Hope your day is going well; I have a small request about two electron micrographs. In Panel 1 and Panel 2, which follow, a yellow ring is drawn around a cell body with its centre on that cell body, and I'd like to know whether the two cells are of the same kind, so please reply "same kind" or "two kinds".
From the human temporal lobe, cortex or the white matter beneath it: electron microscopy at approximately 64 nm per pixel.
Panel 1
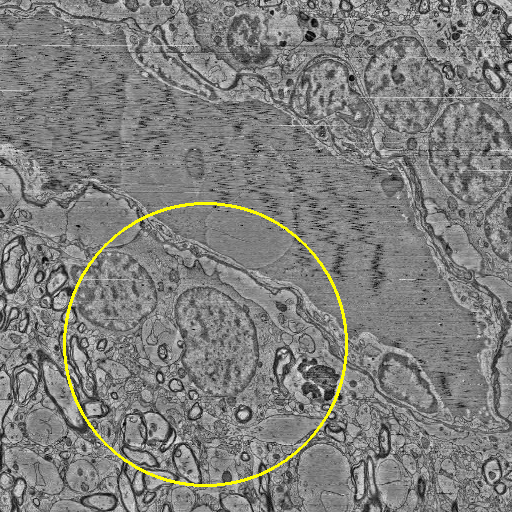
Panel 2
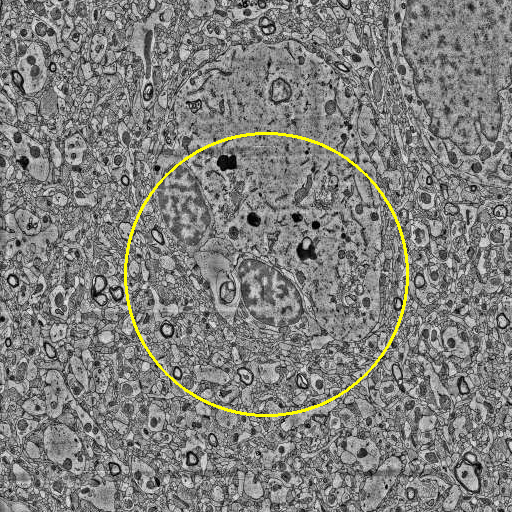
two kinds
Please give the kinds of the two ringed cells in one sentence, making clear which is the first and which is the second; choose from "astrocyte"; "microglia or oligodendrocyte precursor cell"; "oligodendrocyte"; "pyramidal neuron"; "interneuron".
In the second picture the ringed cell is a microglial cell or oligodendrocyte precursor cell; in the first it is an oligodendrocyte.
